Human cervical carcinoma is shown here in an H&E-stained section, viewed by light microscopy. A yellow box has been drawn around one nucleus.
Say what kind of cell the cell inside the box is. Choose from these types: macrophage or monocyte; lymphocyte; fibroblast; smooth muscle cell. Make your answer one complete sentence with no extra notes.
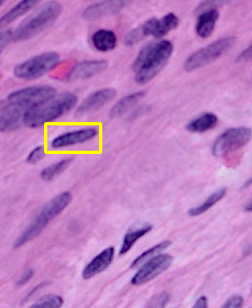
In the stained section, the cell inside the box is a fibroblast.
